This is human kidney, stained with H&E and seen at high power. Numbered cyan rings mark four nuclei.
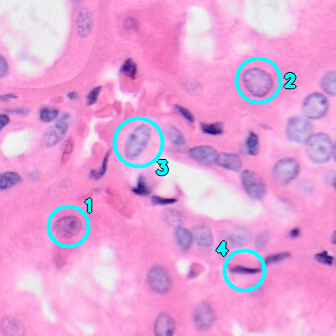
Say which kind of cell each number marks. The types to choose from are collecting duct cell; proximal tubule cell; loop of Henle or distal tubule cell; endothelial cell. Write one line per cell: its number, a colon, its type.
1: proximal tubule cell
2: proximal tubule cell
3: collecting duct cell
4: endothelial cell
